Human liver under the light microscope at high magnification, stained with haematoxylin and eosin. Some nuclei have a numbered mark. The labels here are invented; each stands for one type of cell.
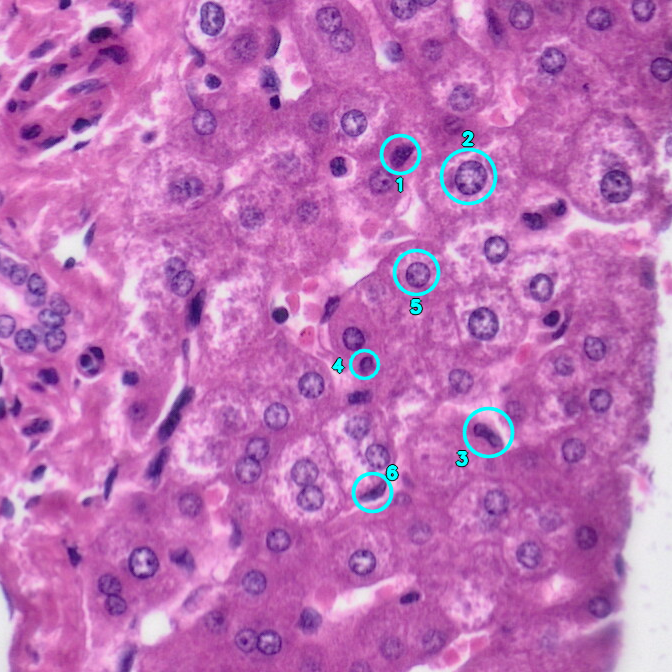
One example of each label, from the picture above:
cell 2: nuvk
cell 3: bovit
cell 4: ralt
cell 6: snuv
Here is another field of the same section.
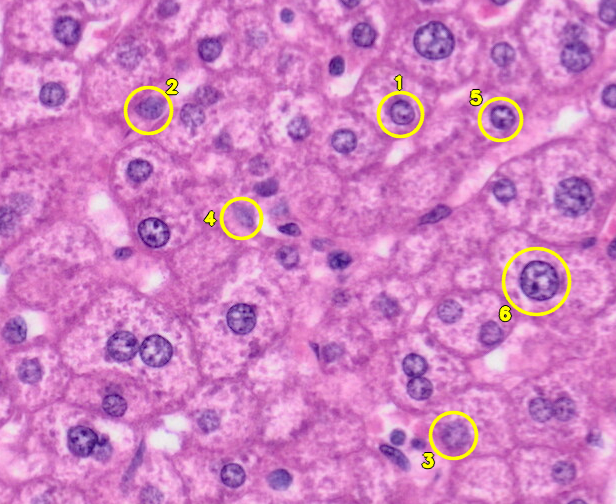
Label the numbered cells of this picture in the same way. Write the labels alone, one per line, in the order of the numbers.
nuvk
snuv
nuvk
bovit
nuvk
nuvk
